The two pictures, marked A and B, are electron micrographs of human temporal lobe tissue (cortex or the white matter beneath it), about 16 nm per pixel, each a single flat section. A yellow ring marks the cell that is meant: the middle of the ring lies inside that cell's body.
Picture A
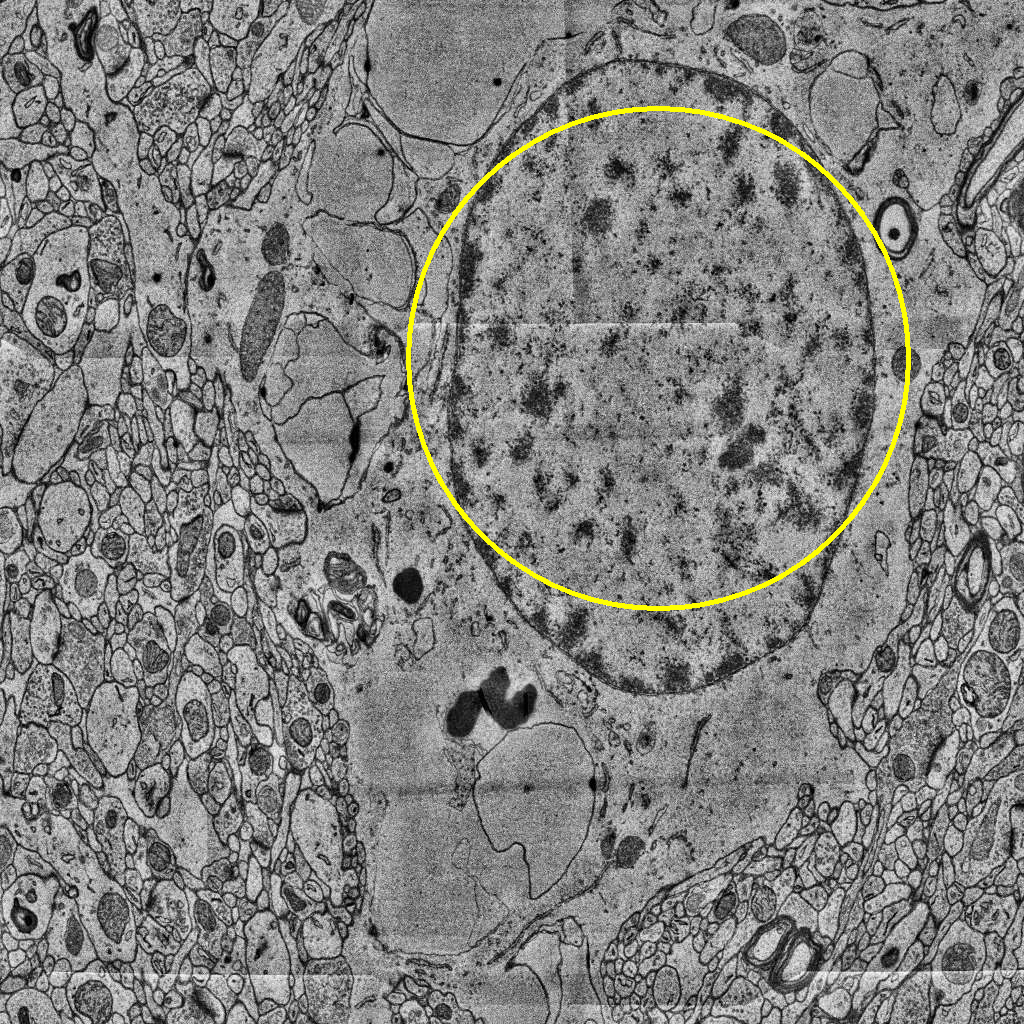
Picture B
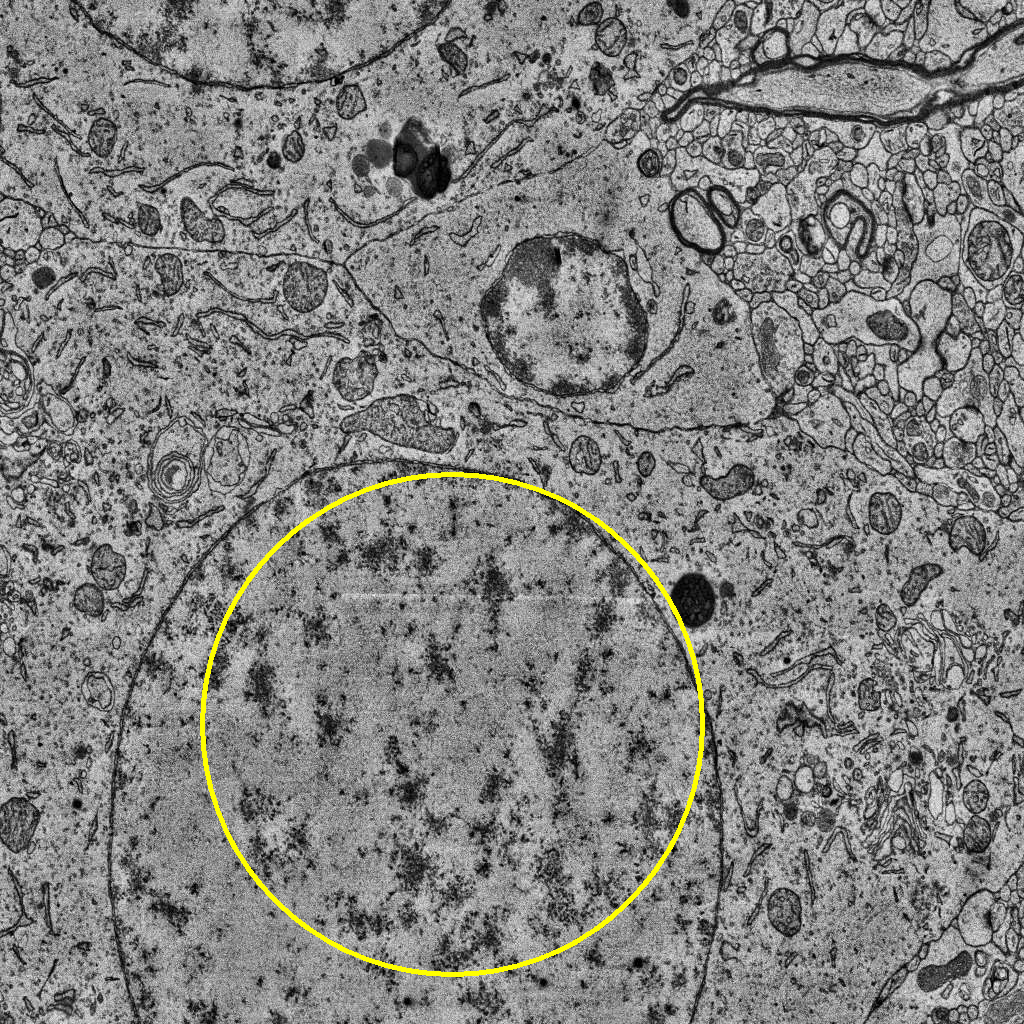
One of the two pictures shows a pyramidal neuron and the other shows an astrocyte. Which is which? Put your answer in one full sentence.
Picture A shows an astrocyte and picture B shows a pyramidal neuron.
